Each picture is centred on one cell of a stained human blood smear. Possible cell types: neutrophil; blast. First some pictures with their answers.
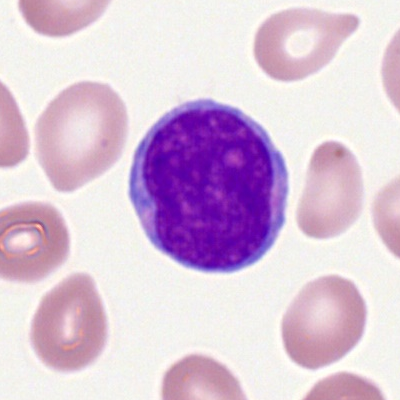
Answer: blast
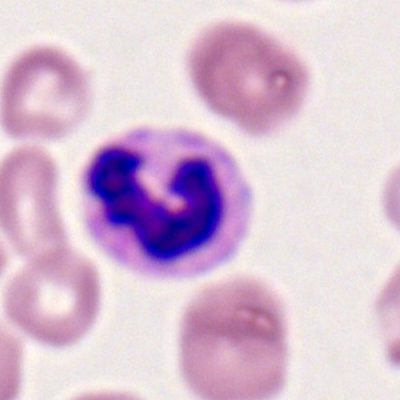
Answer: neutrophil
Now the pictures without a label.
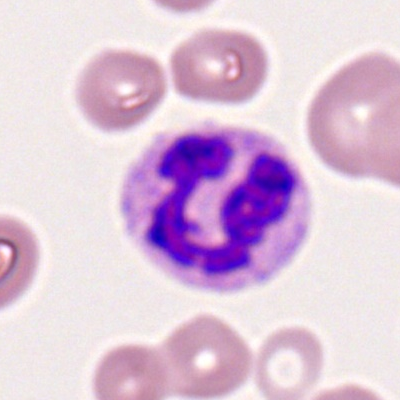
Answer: neutrophil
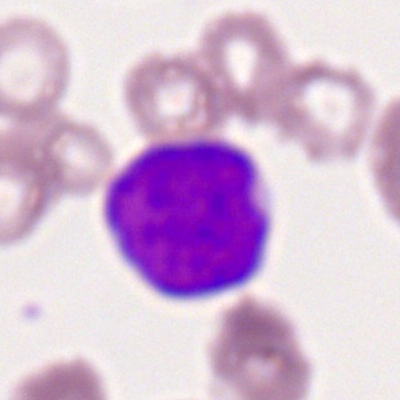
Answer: blast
